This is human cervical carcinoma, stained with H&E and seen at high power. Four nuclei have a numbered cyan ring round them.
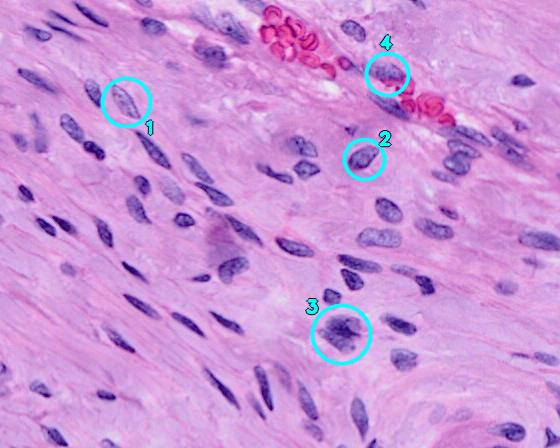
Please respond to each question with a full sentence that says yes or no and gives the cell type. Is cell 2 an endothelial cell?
No, that is wrong: cell 2 is a fibroblast, and not an endothelial cell.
